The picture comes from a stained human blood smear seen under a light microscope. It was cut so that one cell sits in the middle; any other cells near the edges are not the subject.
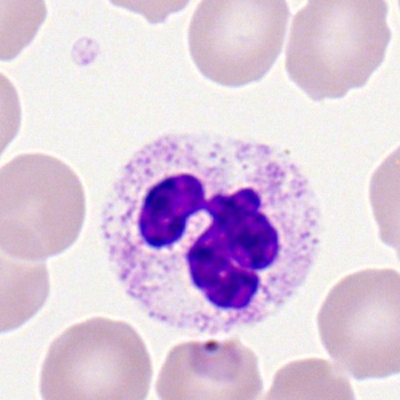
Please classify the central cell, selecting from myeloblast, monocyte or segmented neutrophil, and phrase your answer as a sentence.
Classification of the middle cell gives a segmented neutrophil.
